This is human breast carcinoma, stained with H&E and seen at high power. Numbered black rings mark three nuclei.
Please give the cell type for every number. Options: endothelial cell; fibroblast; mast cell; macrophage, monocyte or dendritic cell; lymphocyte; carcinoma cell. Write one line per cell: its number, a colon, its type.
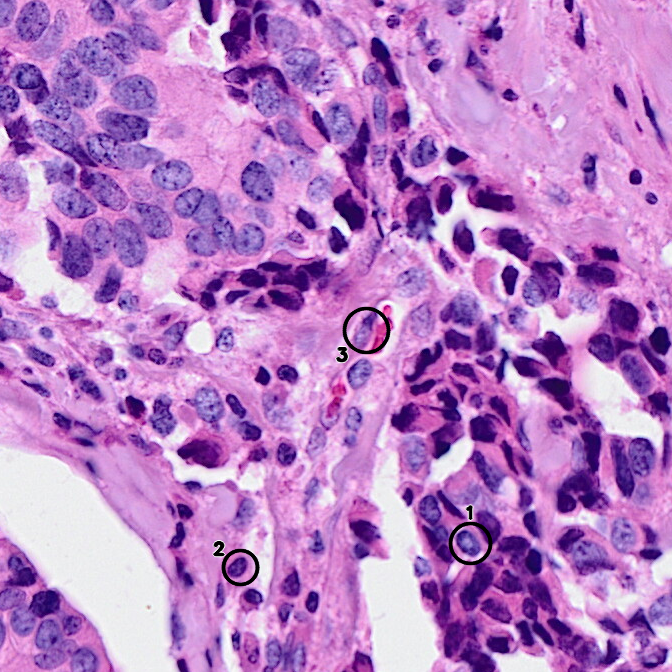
1: carcinoma cell
2: mast cell
3: endothelial cell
